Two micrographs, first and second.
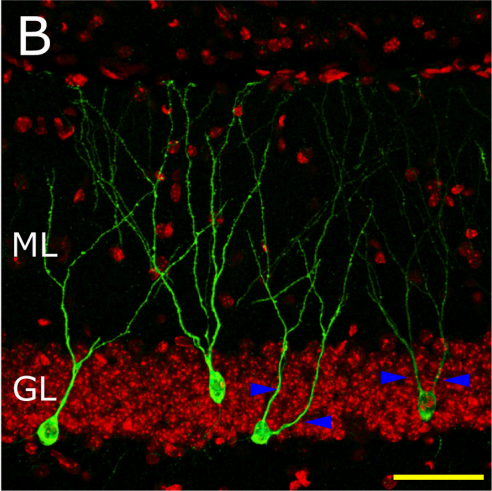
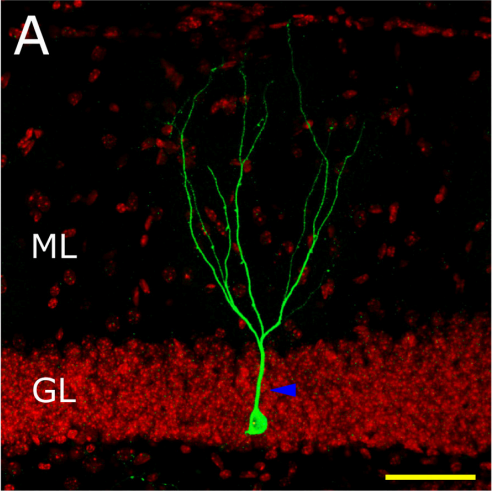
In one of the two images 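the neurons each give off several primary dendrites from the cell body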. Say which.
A: the first image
